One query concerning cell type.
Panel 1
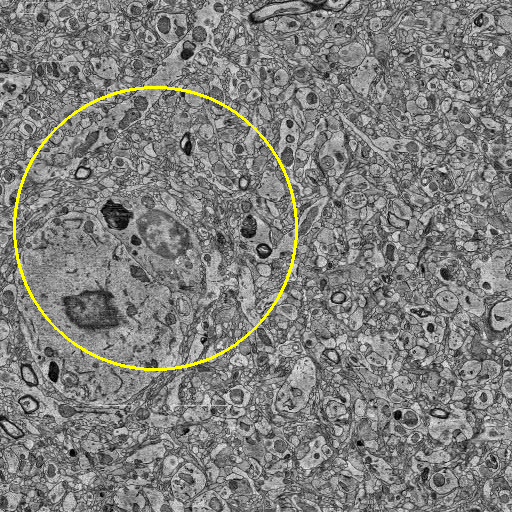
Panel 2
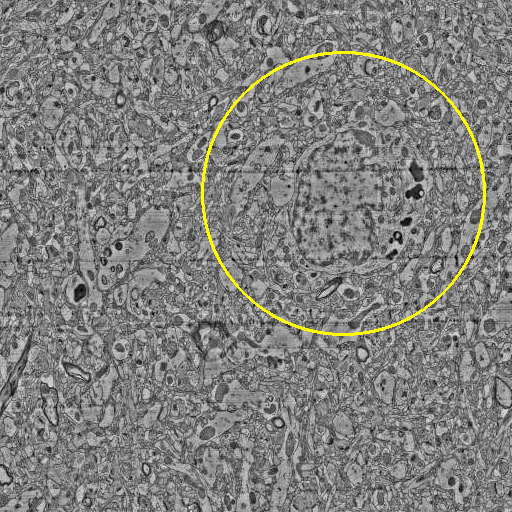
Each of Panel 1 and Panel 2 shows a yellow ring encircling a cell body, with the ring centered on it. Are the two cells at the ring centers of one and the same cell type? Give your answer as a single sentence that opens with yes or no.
No, the cell centered in Panel 1 and the one in Panel 2 are of two types.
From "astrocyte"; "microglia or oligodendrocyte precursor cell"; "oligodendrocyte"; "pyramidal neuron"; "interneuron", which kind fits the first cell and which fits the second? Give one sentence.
The cell marked in the first picture is an oligodendrocyte, and the one marked in the second is an interneuron.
